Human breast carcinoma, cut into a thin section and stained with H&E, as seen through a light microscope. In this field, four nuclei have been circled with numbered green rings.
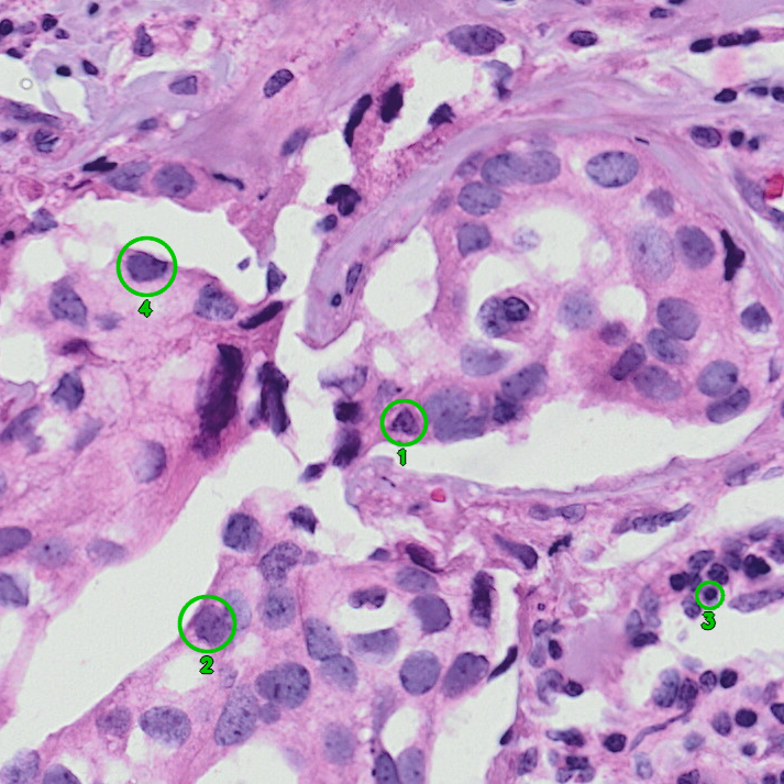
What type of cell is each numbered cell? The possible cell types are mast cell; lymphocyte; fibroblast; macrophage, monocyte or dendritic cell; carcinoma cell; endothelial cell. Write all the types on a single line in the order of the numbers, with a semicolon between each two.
carcinoma cell; carcinoma cell; lymphocyte; carcinoma cell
